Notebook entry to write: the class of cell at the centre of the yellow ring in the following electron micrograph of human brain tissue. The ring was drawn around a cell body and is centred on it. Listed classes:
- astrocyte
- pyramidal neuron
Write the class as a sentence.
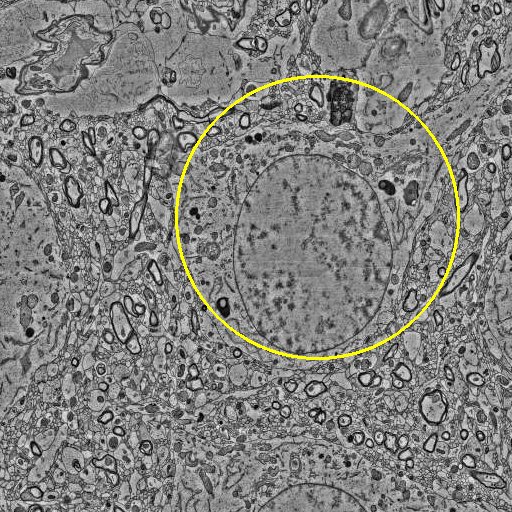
The yellow ring sits on a pyramidal neuron.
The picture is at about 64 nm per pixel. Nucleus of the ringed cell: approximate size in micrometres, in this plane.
In this plane the nucleus is about 13 micrometres by 10.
